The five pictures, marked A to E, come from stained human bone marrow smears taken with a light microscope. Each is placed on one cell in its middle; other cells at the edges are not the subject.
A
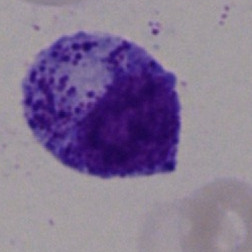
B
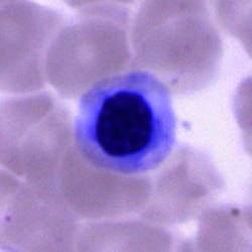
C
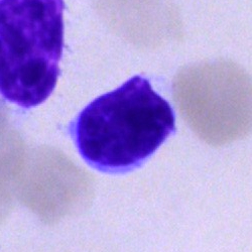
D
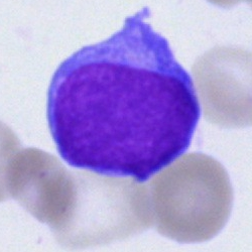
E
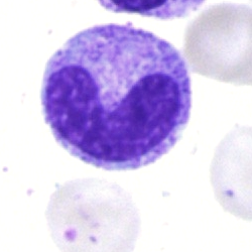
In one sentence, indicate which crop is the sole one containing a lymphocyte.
The crop that shows a lymphocyte is crop C.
